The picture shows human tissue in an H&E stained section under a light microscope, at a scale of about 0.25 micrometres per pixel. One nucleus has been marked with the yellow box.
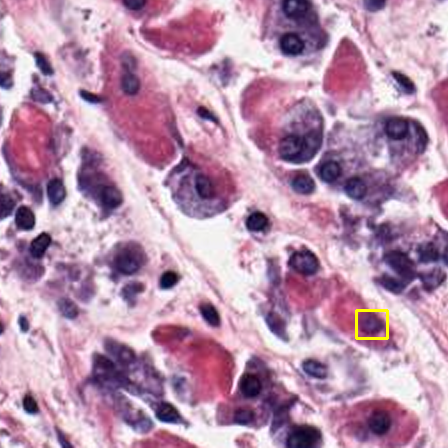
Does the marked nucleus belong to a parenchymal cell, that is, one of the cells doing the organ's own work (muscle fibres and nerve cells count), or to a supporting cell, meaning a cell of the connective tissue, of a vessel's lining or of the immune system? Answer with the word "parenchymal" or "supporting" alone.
parenchymal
